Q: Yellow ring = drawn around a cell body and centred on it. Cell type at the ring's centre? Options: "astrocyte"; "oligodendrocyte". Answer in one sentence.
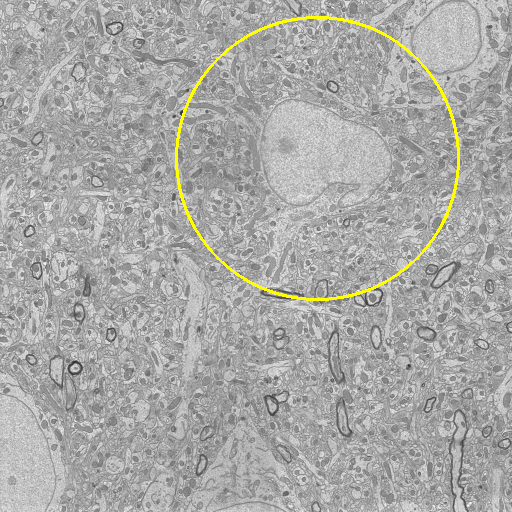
Centred in the ring is an astrocyte.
